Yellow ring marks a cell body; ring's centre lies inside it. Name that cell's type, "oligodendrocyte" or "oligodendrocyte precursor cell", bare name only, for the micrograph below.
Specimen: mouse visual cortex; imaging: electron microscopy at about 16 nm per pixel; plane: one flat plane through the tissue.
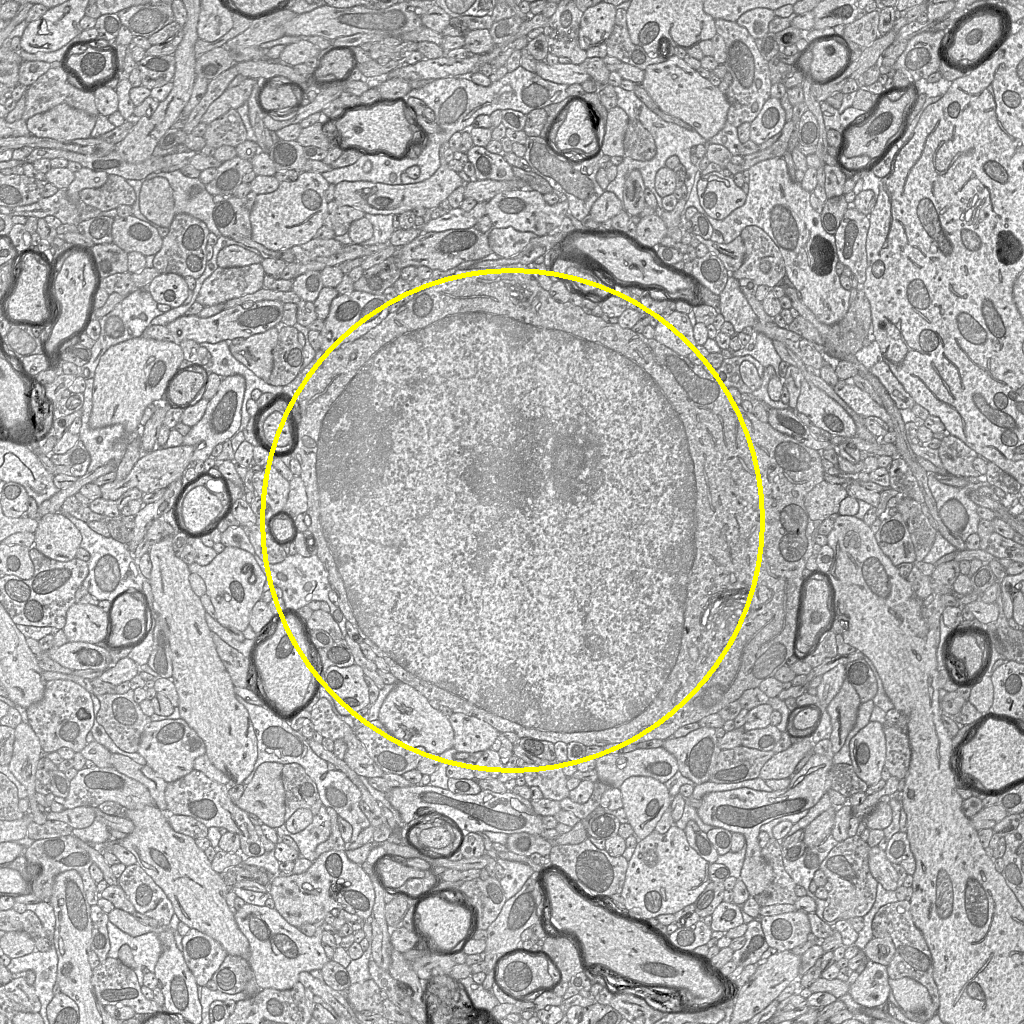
oligodendrocyte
